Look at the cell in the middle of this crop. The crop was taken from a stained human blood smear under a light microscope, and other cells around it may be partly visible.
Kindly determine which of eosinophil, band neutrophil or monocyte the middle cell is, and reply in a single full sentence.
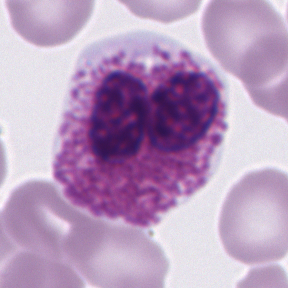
The cell occupying the middle of the crop is an eosinophil.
